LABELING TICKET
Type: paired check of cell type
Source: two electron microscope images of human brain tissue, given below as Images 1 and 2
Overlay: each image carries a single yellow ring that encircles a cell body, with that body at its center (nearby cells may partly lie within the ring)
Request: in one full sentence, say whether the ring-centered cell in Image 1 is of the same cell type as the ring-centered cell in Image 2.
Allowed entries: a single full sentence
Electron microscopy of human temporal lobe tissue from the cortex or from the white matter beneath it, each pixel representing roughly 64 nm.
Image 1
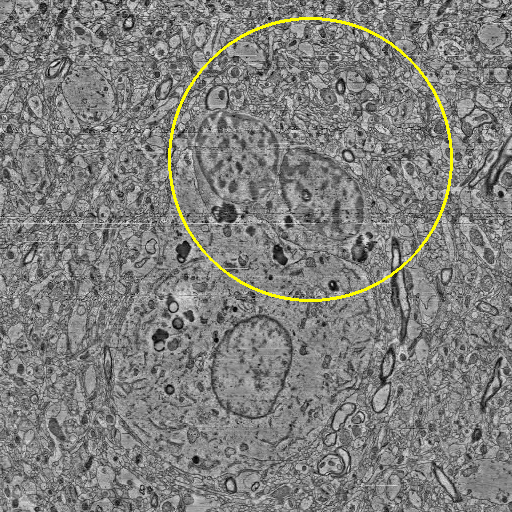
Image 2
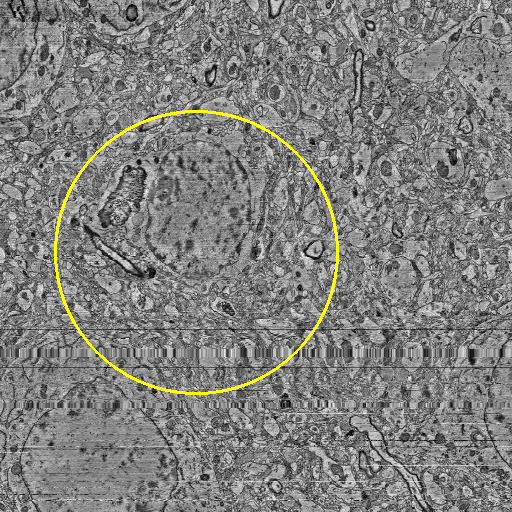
No, the cells centered in the rings of Image 1 and Image 2 are of two types.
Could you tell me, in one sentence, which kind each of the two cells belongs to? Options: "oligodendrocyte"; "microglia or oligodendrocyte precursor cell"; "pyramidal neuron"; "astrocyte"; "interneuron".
At the centre of the first ring sits an oligodendrocyte, and at the centre of the second sits an astrocyte.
